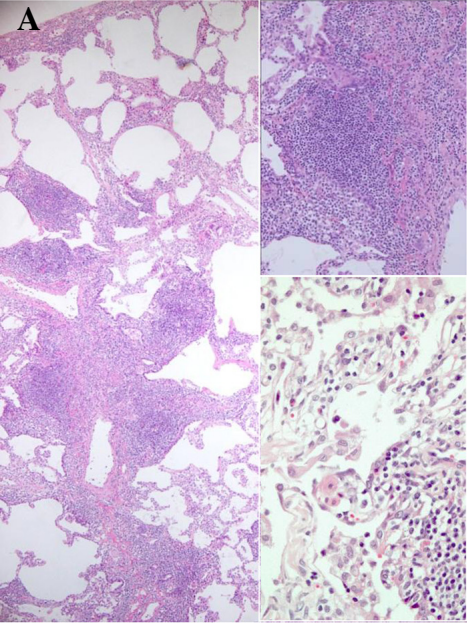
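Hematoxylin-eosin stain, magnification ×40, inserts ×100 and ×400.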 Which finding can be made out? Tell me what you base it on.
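Interstitial pneumonia. Alveolar walls are thickened by cells throughout the field. Air spaces remain open while the septa between them are widened.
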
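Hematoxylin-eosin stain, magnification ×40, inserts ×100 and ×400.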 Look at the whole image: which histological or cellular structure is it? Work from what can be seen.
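Several rounded, densely packed dark purple nodules of small round cells lie within the lung tissue. The upper inset shows one such nodule made of tightly crowded small dark nuclei. The answer: lymphoid follicles.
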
